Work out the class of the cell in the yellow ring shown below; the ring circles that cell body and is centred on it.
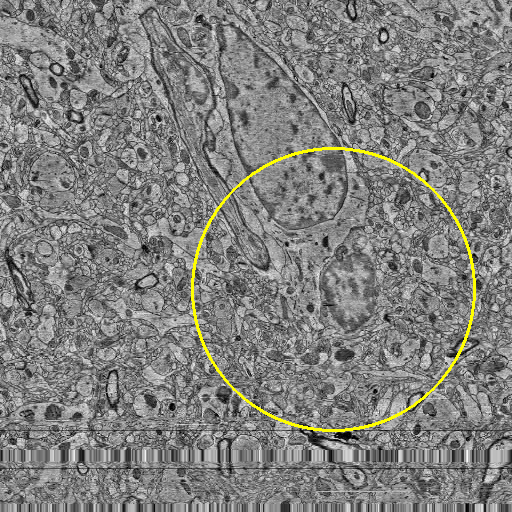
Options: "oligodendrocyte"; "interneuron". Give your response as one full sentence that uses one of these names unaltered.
The body ringed in yellow, right at the ring's centre, is that of an oligodendrocyte.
